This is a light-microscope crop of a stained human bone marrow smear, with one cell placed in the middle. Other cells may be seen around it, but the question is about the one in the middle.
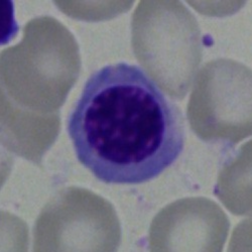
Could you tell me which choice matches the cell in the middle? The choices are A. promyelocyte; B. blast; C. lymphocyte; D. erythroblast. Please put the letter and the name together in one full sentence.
Option D is the right choice, the central cell being an erythroblast.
